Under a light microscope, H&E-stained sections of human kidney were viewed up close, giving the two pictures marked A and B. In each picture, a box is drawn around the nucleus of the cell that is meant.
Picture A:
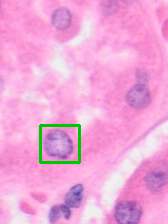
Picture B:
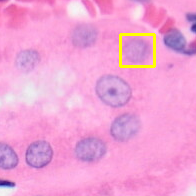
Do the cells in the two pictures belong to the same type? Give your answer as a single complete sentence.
Yes, both cells are proximal tubule cells.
